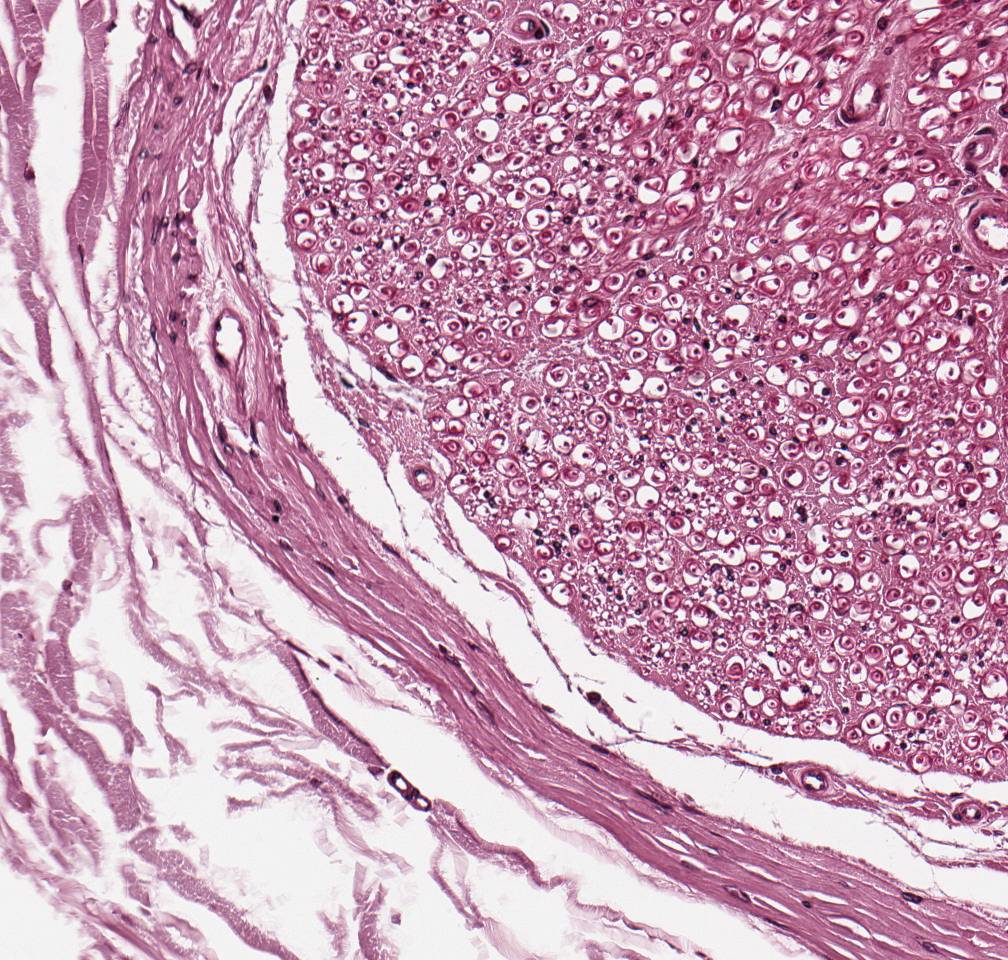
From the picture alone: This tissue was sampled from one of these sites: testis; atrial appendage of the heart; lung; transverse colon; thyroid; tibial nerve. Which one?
tibial nerve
